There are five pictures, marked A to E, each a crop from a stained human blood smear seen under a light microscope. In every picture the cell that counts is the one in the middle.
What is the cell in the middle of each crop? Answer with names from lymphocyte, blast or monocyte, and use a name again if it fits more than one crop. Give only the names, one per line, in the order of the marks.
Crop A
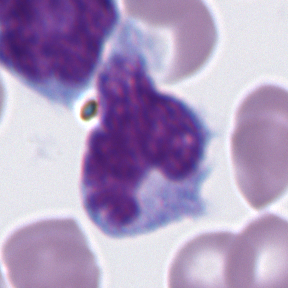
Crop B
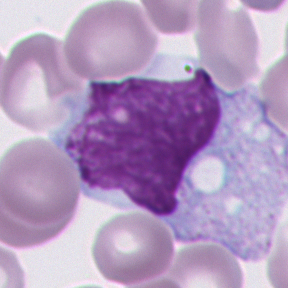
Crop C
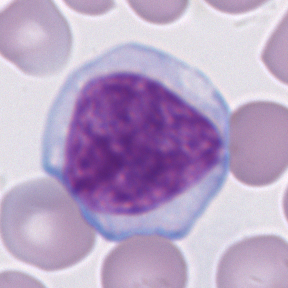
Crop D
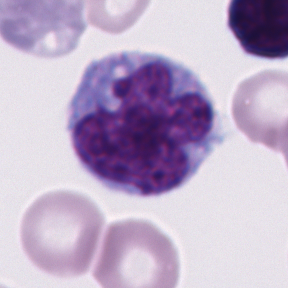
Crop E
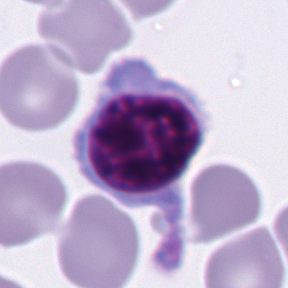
monocyte
monocyte
blast
monocyte
lymphocyte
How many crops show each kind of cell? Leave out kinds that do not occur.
monocyte: 3
blast: 1
lymphocyte: 1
